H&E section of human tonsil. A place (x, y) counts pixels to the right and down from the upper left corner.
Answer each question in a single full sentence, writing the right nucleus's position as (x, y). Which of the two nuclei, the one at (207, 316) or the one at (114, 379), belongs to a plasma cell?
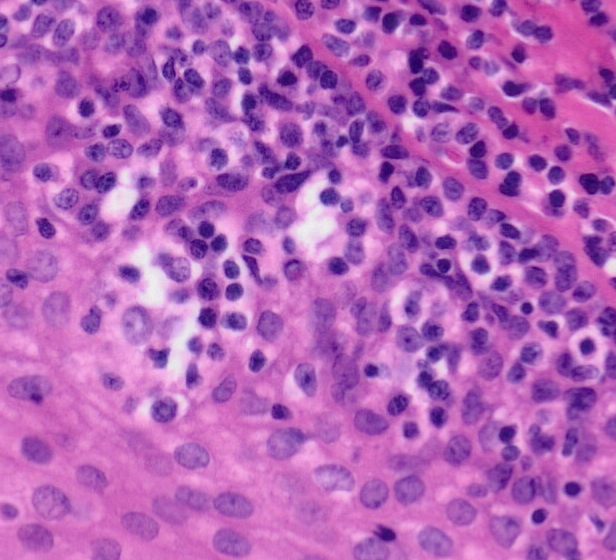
The nucleus situated at (207, 316) is the one belonging to a plasma cell.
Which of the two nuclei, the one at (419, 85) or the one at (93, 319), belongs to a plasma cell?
Lying within a plasma cell is the nucleus at (419, 85).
